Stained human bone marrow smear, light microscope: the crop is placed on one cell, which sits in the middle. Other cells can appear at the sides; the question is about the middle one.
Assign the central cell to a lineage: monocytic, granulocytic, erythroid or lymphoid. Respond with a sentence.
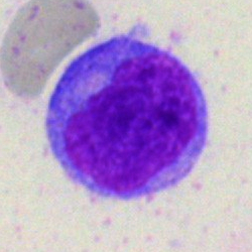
The cell occupying the middle of the crop is classified within the monocytic lineage.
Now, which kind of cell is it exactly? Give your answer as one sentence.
Positioned in the middle of the crop is a monocyte.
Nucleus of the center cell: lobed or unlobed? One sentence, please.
The nuclear material is gathered into one compact round, oval or kidney-shaped mass.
